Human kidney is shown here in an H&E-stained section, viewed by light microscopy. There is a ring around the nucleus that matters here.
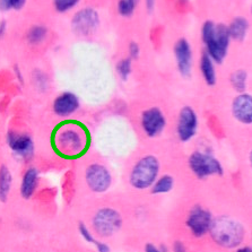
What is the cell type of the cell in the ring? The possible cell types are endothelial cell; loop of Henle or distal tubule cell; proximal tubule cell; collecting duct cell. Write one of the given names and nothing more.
loop of Henle or distal tubule cell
